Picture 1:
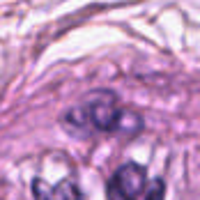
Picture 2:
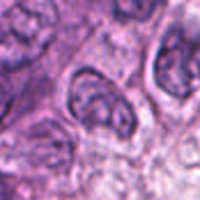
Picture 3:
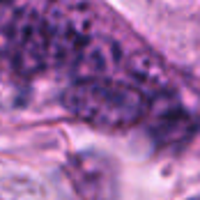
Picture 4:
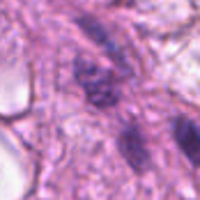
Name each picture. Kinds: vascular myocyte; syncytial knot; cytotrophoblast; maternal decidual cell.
1: vascular myocyte
2: cytotrophoblast
3: syncytial knot
4: vascular myocyte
